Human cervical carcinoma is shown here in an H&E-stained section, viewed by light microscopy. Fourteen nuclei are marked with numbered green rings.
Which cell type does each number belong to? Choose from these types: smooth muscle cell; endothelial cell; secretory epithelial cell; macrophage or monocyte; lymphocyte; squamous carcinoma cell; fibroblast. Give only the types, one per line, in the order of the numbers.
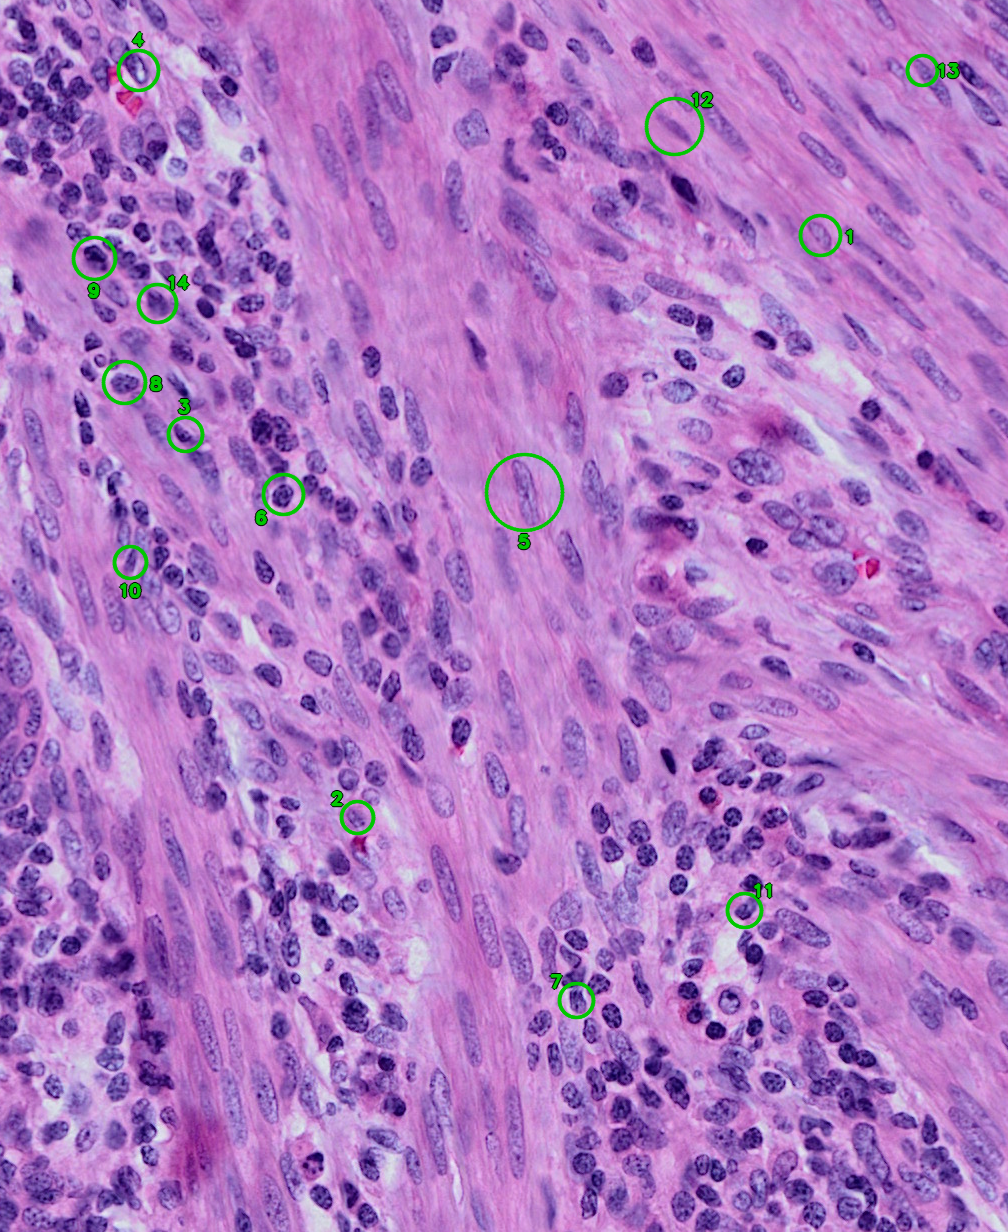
smooth muscle cell
endothelial cell
lymphocyte
endothelial cell
smooth muscle cell
lymphocyte
lymphocyte
lymphocyte
lymphocyte
lymphocyte
lymphocyte
fibroblast
smooth muscle cell
lymphocyte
